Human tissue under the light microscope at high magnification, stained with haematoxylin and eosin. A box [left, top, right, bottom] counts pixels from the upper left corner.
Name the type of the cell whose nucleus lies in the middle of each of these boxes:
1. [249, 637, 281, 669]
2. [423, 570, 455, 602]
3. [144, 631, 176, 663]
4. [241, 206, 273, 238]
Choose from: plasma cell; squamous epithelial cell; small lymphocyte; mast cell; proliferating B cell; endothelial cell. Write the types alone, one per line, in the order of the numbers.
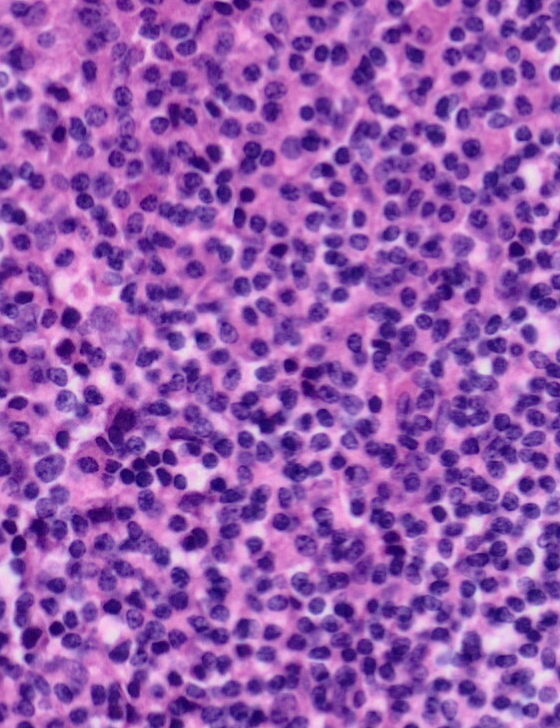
small lymphocyte
small lymphocyte
small lymphocyte
plasma cell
